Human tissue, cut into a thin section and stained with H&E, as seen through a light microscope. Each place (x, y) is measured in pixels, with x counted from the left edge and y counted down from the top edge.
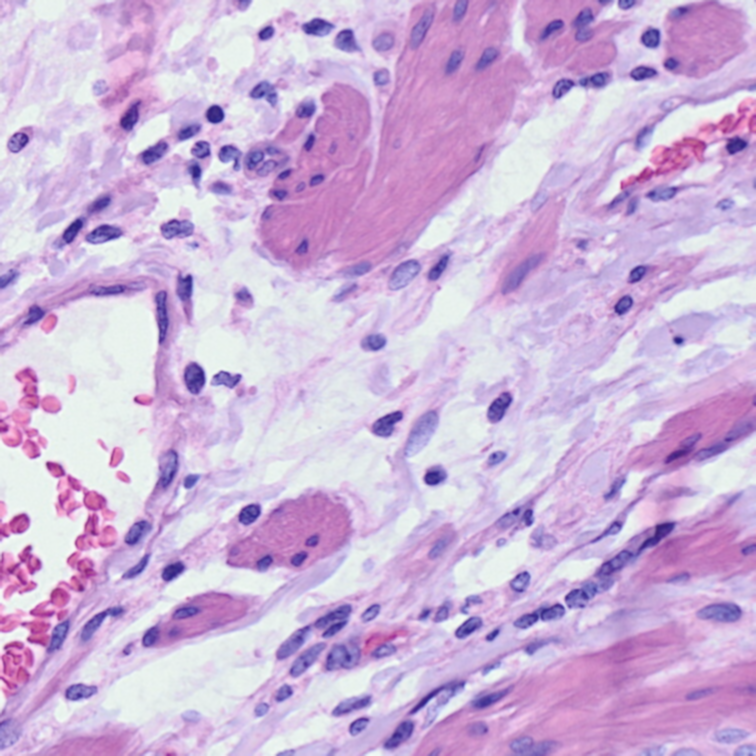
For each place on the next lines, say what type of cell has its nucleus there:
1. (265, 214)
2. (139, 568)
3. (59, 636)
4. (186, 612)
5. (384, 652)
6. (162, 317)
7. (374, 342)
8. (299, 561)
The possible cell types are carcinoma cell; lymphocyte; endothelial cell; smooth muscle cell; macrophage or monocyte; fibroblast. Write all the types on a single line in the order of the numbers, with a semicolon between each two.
smooth muscle cell; fibroblast; endothelial cell; smooth muscle cell; endothelial cell; endothelial cell; lymphocyte; smooth muscle cell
